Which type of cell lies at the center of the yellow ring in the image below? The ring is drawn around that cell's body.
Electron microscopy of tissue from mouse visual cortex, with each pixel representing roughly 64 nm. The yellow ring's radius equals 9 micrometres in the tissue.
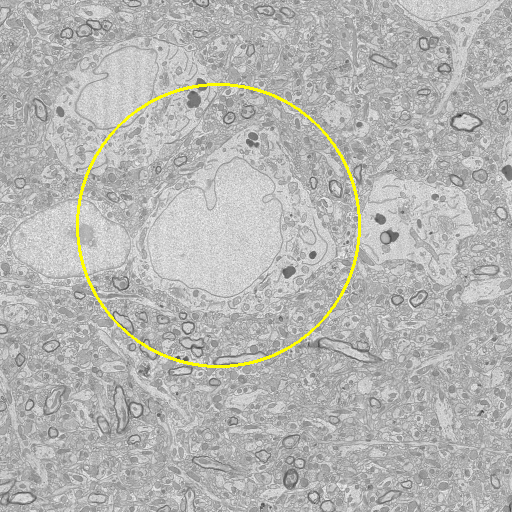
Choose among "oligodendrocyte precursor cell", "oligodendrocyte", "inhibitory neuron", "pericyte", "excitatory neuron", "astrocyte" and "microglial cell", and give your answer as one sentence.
The cell body at the center belongs to an excitatory neuron.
